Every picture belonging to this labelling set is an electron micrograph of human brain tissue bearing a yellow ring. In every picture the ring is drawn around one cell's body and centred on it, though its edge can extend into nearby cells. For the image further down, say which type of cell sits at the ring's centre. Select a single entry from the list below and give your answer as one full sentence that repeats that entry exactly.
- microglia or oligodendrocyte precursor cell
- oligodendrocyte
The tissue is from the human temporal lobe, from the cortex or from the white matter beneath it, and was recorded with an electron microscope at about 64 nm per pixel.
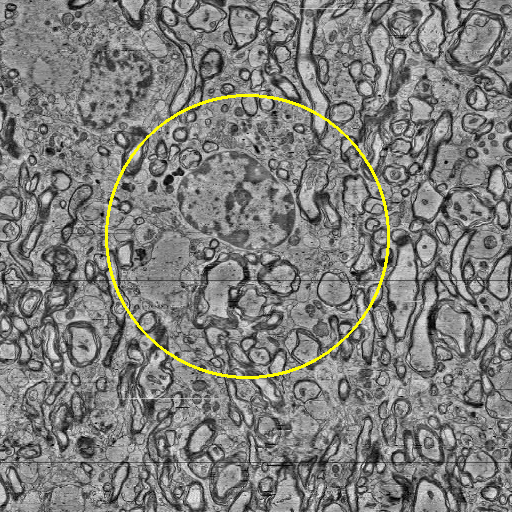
In the picture, a microglial cell or oligodendrocyte precursor cell is the cell at the centre of the yellow ring.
